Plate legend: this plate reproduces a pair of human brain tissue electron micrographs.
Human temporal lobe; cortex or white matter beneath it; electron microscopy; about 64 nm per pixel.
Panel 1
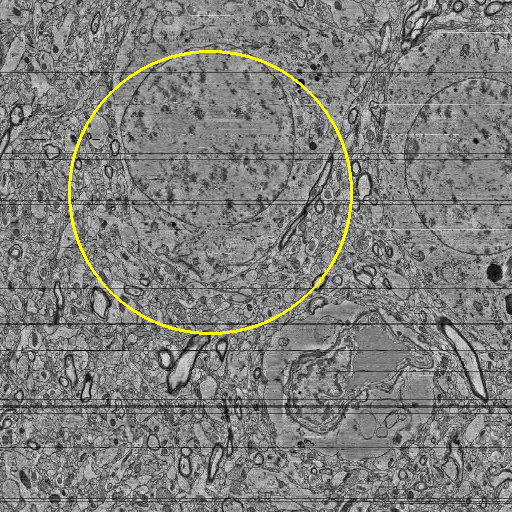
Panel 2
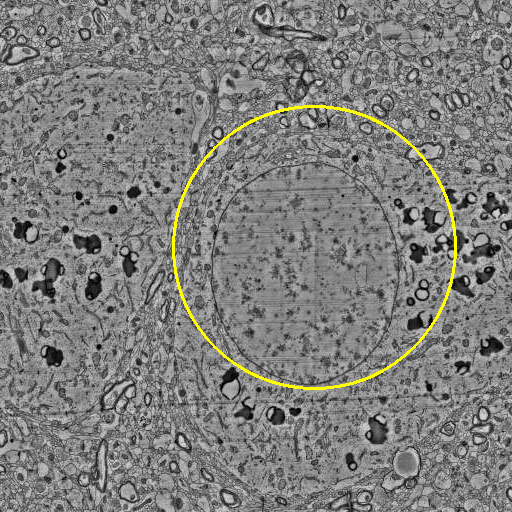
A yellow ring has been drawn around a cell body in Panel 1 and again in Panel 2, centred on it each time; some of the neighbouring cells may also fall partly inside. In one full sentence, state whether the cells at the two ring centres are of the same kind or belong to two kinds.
The ring-centred cells of Panel 1 and Panel 2 are of the same kind.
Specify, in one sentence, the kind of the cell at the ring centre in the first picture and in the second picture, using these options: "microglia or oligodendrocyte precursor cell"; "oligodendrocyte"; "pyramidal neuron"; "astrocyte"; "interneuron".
Each one of the two ringed cells is a pyramidal neuron.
